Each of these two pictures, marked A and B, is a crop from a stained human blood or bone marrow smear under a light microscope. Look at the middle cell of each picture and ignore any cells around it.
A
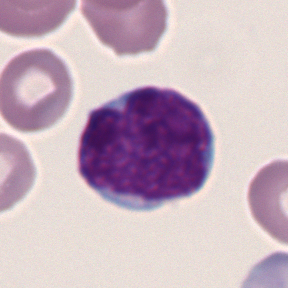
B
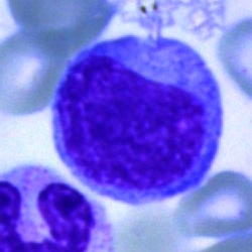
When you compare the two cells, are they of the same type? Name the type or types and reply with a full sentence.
Yes, both crops, not just one, show blasts.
